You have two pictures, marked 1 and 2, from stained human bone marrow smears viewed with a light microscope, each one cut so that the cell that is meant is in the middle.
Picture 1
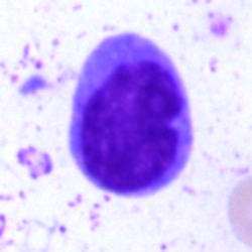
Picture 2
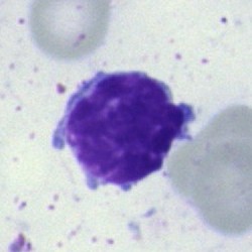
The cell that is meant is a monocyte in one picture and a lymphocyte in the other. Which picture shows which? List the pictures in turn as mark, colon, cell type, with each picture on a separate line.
1: monocyte
2: lymphocyte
